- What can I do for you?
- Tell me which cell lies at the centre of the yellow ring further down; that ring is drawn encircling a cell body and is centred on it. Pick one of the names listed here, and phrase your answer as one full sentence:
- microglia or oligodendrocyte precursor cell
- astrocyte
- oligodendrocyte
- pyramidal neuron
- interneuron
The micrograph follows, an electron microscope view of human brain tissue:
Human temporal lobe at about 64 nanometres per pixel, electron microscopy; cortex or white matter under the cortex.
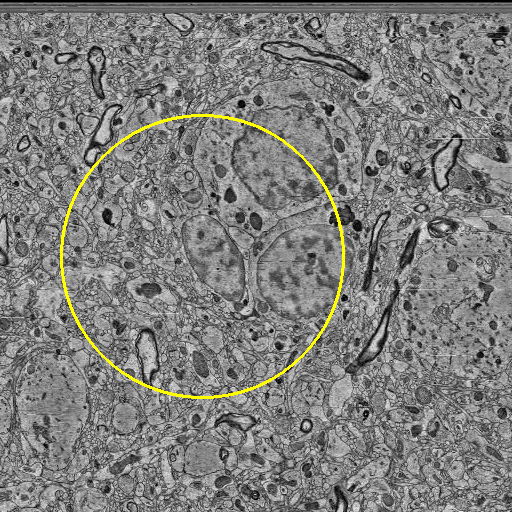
The cell whose body lies at the centre of the yellow ring is a microglial cell or oligodendrocyte precursor cell.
